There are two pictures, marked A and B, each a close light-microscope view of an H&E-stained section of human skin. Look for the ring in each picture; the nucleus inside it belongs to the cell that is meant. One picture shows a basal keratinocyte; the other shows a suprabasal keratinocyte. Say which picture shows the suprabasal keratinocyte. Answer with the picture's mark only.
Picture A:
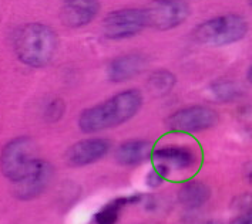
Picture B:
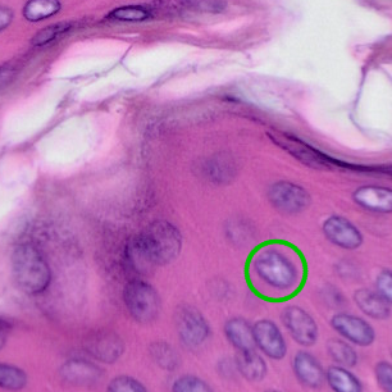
B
